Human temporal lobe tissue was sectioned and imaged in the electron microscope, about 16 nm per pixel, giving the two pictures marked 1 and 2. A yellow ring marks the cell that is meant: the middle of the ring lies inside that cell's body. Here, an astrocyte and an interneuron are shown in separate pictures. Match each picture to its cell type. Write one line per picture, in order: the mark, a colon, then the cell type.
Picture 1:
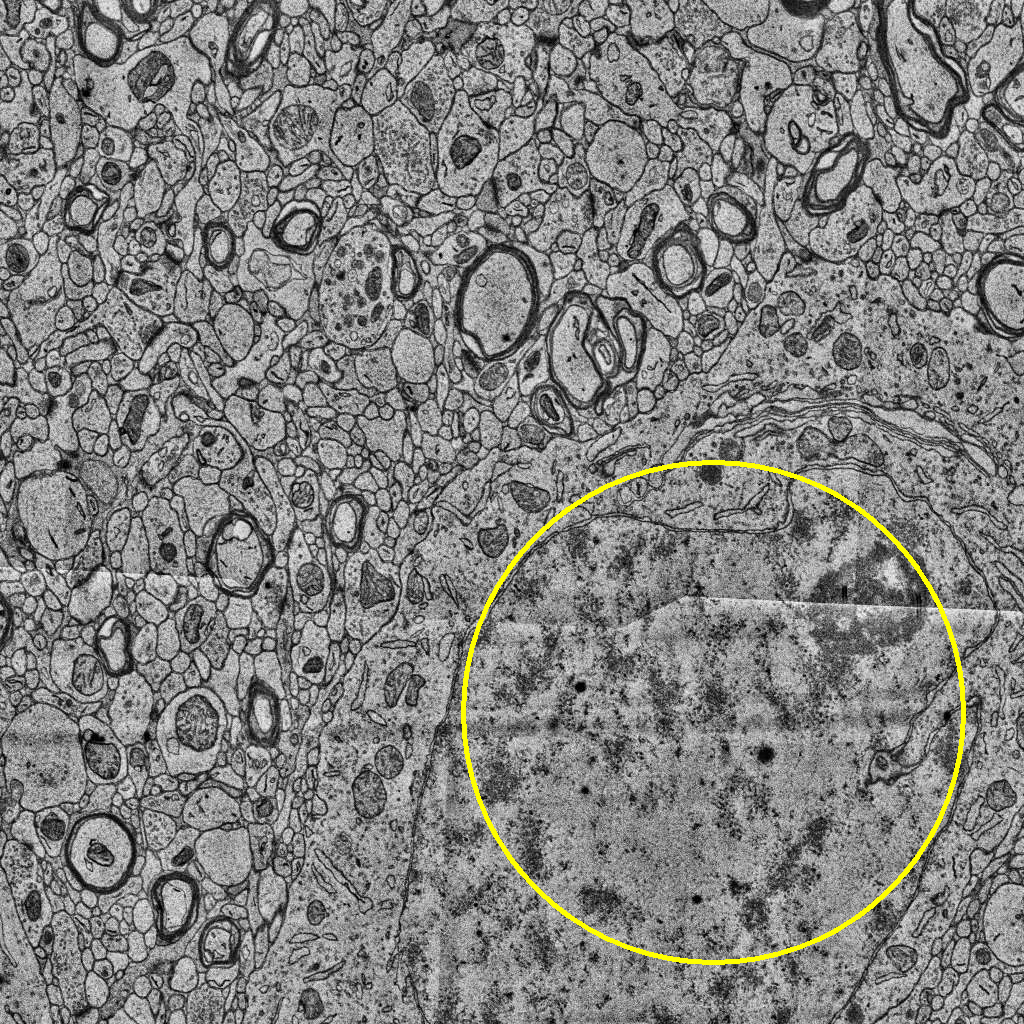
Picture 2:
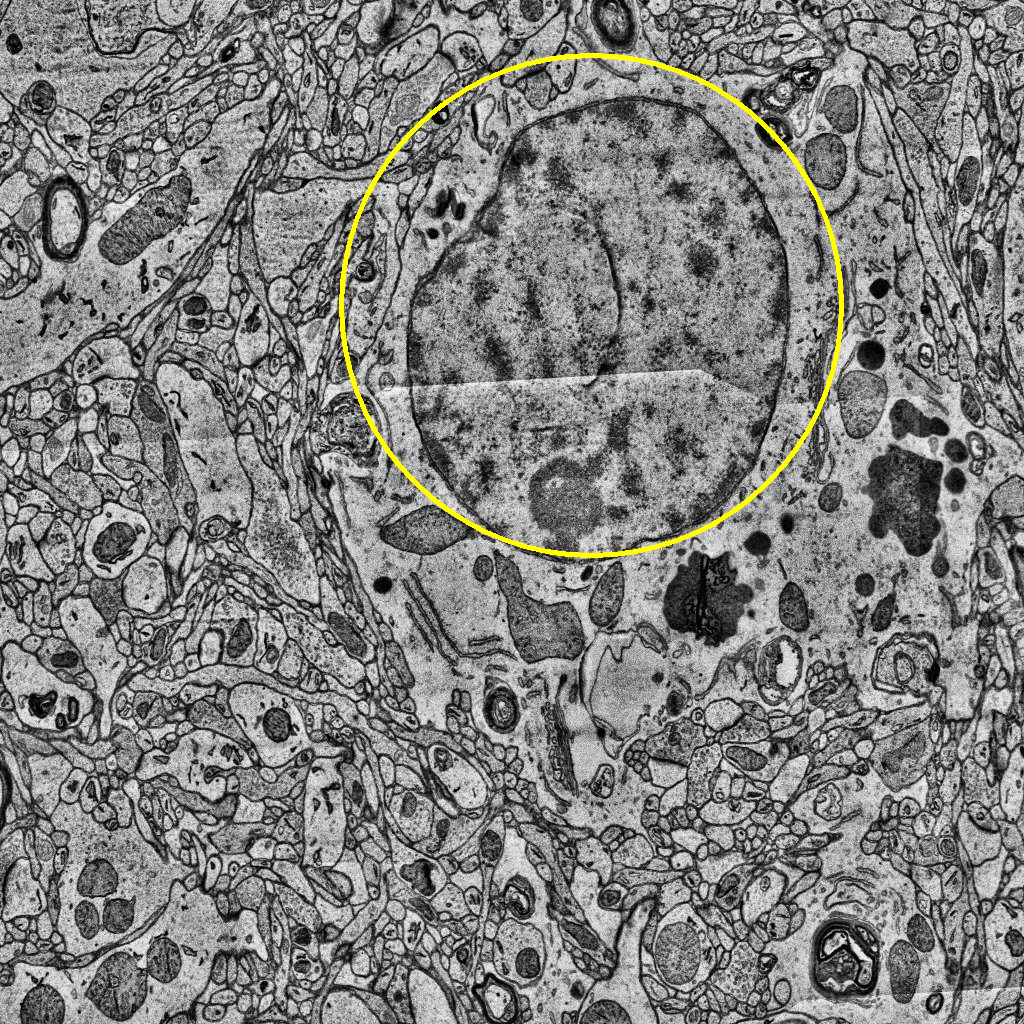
1: interneuron
2: astrocyte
